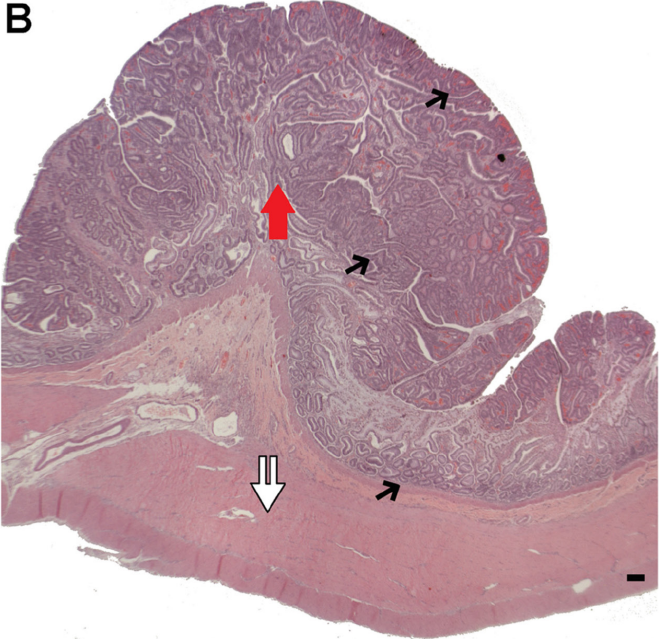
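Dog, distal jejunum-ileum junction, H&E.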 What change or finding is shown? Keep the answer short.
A: Extensive cell proliferation.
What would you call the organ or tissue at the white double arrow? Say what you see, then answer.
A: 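The arrow points into a broad, evenly pink band below the mucosal mass. The band is smooth and lacks glands. The band runs the full width of the section beneath the lesion. On this evidence: unaffected submucosa and muscularis propria tissue.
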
